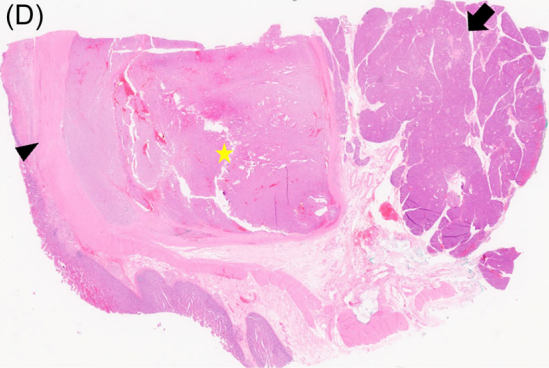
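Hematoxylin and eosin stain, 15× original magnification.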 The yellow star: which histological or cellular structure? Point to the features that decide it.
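Tumor. The star sits in a large, pale pink, well-demarcated mass in the middle of the section. The mass is bordered by a pink band on one side and lobulated purple tissue on the other.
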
